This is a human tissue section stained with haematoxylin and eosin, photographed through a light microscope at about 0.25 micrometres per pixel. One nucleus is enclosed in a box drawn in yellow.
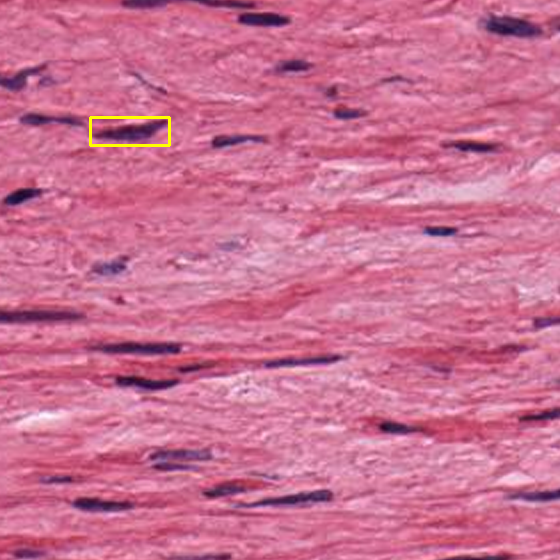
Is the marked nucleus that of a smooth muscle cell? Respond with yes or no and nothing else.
yes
